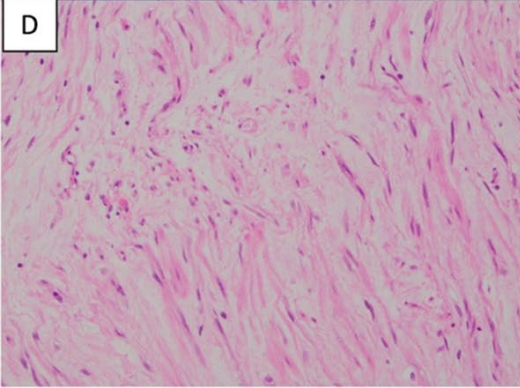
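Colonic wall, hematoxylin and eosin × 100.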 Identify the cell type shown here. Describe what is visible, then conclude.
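Cells have elongated, tapering nuclei. Pink fibrillary cytoplasm and stroma surround the nuclei. Cells lie in streaming, interlacing bundles. The answer: eosinophilic spindle-shaped cells.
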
